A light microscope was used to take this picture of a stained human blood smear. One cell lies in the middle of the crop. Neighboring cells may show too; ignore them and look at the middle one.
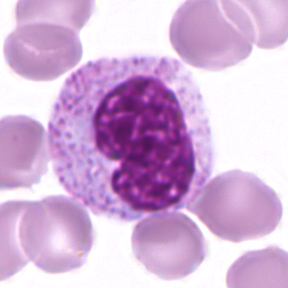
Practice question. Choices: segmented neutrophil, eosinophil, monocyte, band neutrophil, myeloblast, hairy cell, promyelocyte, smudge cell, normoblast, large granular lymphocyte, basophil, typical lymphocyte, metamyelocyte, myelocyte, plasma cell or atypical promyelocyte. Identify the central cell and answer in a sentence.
In short, the cell at the center is a band neutrophil.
